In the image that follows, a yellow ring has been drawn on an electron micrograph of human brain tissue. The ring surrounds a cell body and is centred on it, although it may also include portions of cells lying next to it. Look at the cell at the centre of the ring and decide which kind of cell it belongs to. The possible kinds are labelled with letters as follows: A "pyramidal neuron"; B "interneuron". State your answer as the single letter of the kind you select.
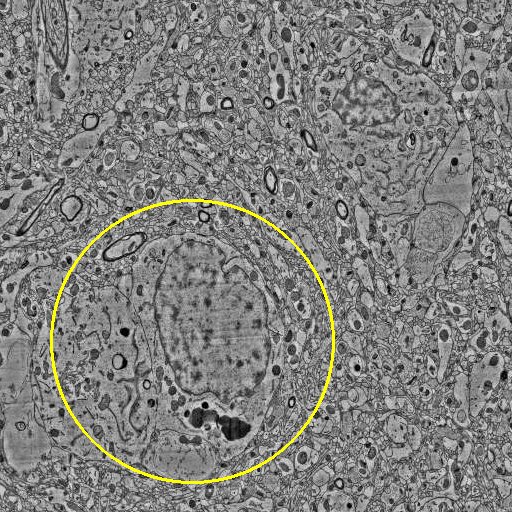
B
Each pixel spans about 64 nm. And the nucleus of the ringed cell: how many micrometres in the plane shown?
The nucleus works out at approximately 10 by 7 micrometres in this plane.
